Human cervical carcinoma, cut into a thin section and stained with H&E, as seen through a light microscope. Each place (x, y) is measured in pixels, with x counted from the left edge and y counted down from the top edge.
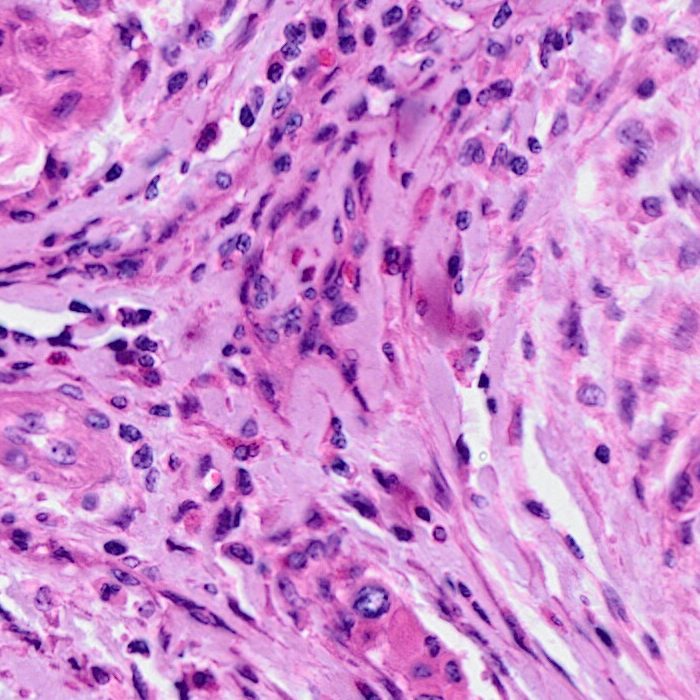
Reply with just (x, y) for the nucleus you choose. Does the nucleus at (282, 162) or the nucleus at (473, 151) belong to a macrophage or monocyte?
(473, 151)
